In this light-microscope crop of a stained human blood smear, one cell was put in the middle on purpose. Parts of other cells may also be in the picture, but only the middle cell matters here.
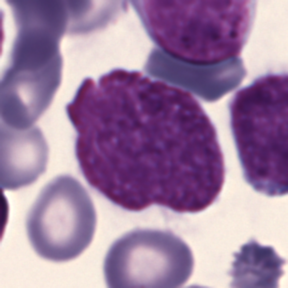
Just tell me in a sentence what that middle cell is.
Within this crop, a smudge cell occupies the central position.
